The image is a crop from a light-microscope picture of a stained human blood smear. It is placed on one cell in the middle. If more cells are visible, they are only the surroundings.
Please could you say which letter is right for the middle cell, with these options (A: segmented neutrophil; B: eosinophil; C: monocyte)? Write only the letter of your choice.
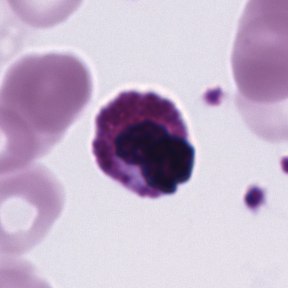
B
